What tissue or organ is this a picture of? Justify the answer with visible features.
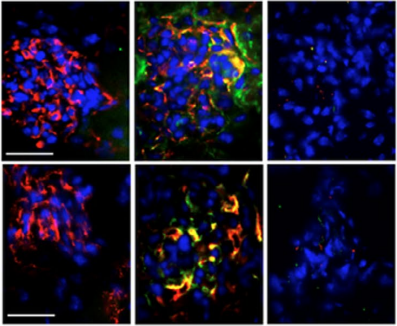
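Red-stained cells are intertwined within this cluster. That points to this answer: glomeruli.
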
